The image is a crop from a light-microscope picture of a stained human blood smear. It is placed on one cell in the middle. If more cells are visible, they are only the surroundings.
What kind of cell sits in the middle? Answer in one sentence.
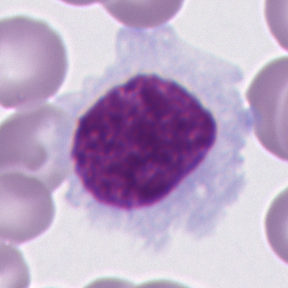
Classified as a hairy cell is the cell in the middle of this crop.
